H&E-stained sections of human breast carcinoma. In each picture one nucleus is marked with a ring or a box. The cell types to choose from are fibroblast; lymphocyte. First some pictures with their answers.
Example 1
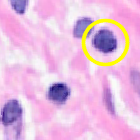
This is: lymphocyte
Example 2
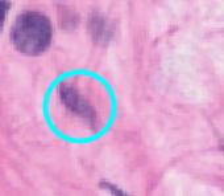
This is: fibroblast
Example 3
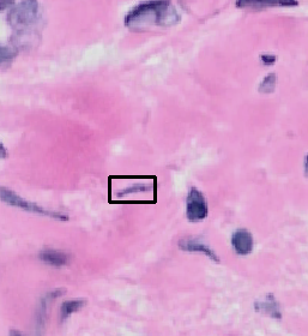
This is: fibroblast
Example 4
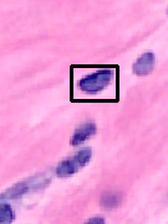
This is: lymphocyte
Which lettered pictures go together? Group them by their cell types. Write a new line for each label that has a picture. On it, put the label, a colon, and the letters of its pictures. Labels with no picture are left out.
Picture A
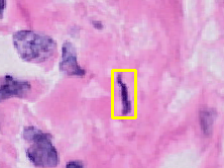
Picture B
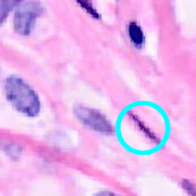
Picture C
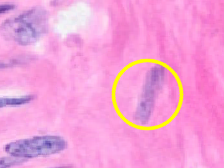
fibroblast: A, B, C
